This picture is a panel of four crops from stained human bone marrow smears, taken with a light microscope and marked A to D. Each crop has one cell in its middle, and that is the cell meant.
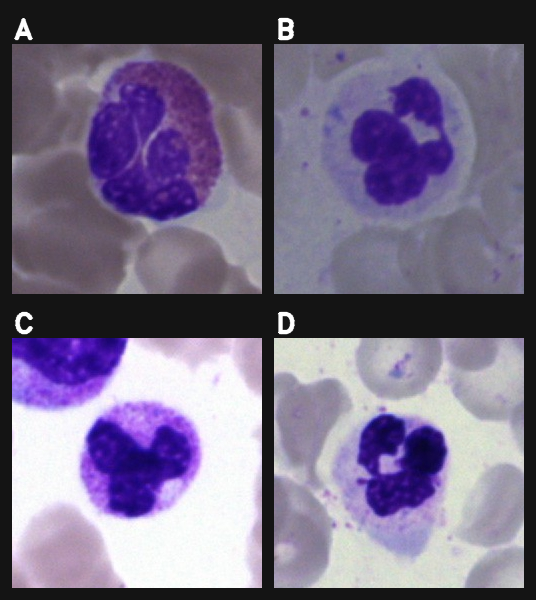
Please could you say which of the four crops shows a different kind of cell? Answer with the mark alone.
A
